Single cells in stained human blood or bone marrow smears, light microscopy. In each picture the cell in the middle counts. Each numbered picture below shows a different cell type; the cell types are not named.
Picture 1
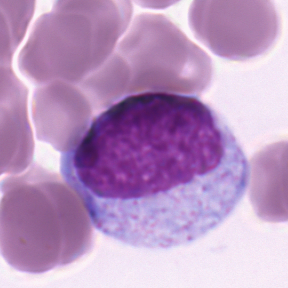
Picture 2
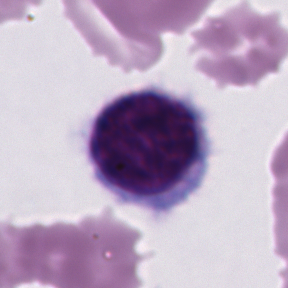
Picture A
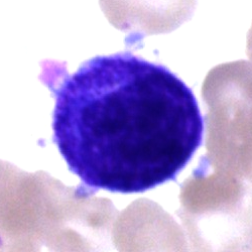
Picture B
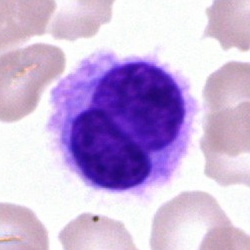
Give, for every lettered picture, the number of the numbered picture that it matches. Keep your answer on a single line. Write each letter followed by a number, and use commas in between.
A 1, B 2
